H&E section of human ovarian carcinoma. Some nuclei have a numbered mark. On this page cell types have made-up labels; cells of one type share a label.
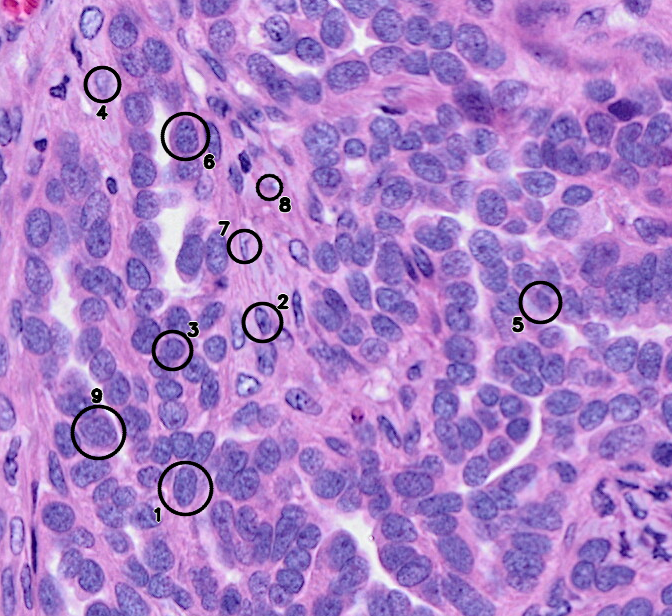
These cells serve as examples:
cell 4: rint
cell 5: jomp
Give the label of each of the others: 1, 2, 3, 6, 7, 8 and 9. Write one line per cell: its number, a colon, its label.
1: jomp
2: rint
3: jomp
6: jomp
7: rint
8: rint
9: jomp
